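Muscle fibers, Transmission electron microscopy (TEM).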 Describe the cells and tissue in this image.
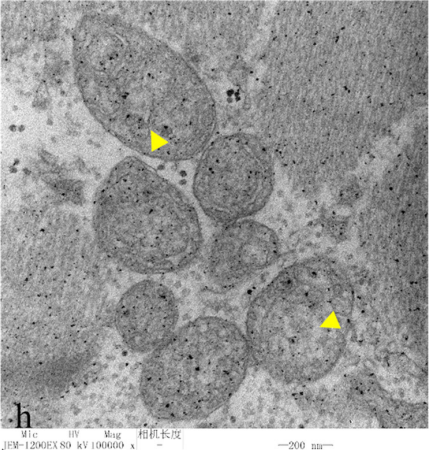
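At high magnification a cluster of oval and rounded organelles bounded by a double membrane lies beside finely striated myofibrillar material. Their interiors are pale and granular, with scattered dark dots and only faint, sparse internal folds instead of dense parallel cristae. These are mitochondria that look abnormal, with a severe loss of cristae.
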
